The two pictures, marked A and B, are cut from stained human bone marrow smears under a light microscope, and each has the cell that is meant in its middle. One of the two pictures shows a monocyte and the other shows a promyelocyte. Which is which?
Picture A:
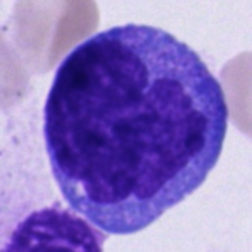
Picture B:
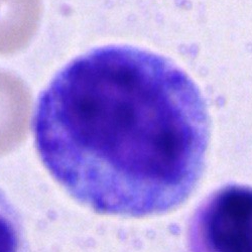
A: monocyte
B: promyelocyte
